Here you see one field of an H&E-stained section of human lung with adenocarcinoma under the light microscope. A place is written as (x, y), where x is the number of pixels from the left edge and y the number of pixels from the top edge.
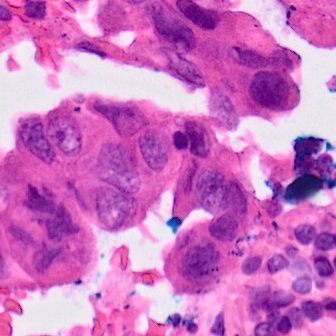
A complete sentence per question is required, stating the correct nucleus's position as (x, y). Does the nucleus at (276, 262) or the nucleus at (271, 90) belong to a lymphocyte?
Of the pair, the nucleus located at (276, 262) belongs to a lymphocyte.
